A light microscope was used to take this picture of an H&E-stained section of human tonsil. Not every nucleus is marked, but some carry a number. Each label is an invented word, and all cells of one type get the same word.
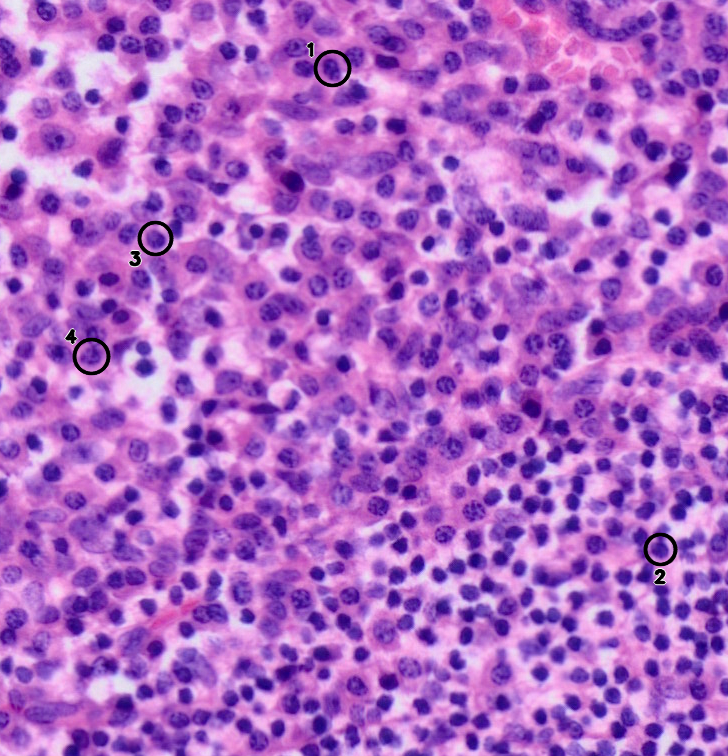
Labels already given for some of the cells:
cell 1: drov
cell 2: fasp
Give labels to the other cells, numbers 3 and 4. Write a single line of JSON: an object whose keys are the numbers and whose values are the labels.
{"3": "drov", "4": "drov"}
